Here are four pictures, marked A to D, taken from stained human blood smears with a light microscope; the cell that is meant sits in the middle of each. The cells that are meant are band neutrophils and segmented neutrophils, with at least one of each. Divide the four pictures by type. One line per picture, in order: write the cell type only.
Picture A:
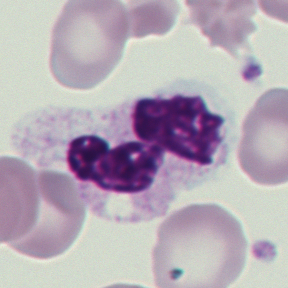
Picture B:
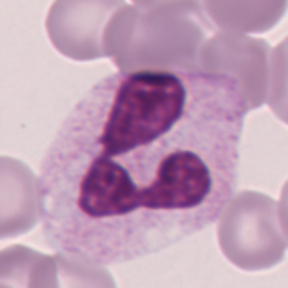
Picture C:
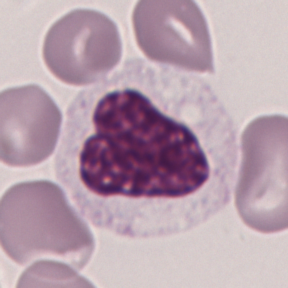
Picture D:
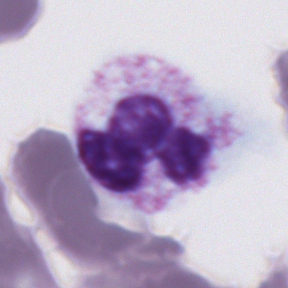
segmented neutrophil
segmented neutrophil
band neutrophil
segmented neutrophil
